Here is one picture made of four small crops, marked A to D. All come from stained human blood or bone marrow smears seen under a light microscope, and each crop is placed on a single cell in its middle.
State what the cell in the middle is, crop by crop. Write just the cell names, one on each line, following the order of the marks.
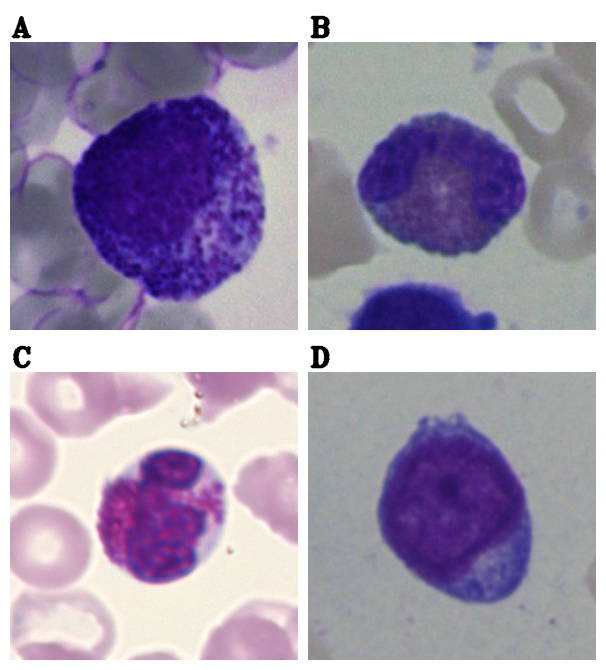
promyelocyte
eosinophil
eosinophil
blast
